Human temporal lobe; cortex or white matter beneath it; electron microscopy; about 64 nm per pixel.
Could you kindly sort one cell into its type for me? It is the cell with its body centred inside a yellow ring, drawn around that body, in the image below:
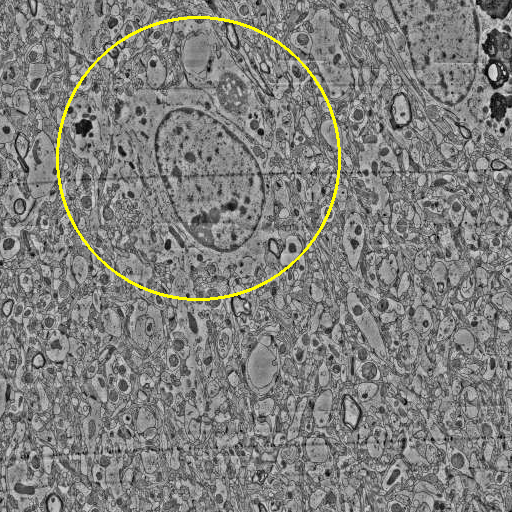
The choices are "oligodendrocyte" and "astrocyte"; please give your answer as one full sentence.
The cell whose body lies centred in the yellow ring here is an astrocyte.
